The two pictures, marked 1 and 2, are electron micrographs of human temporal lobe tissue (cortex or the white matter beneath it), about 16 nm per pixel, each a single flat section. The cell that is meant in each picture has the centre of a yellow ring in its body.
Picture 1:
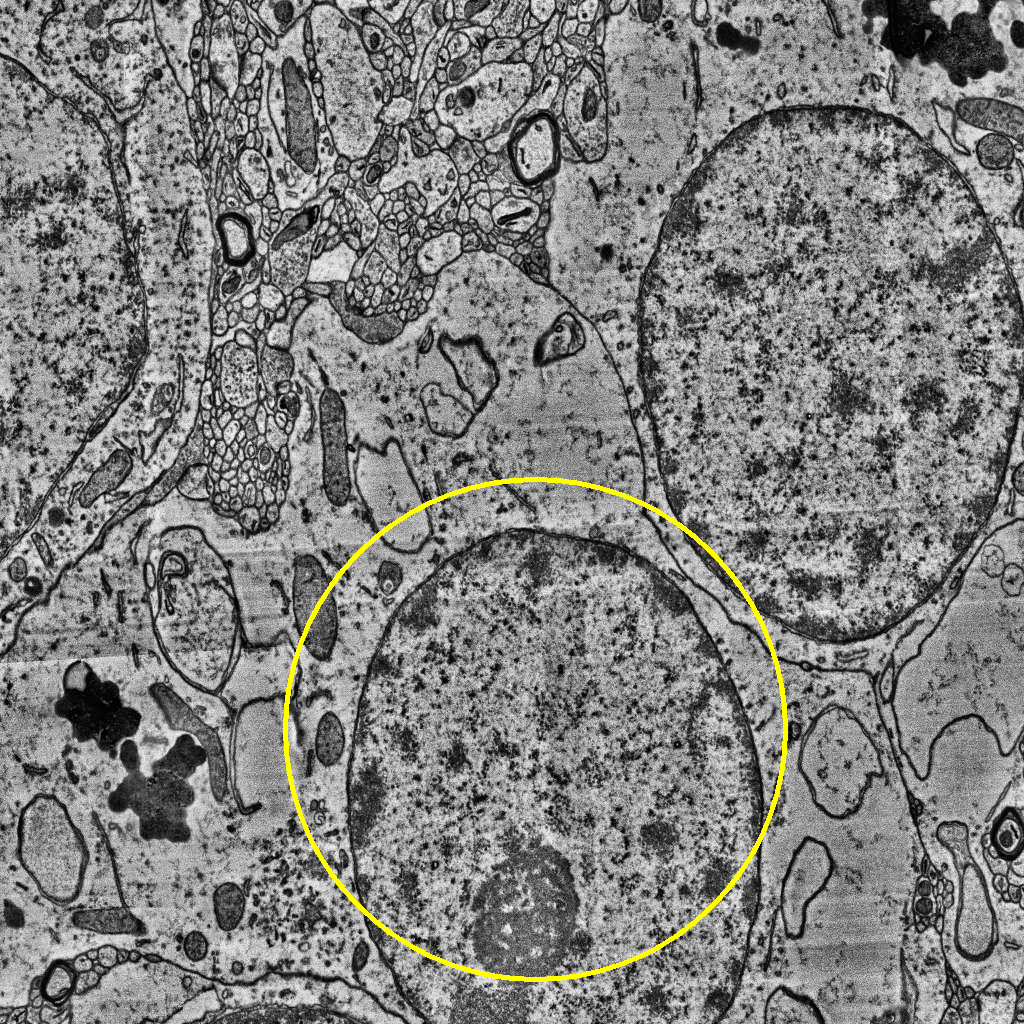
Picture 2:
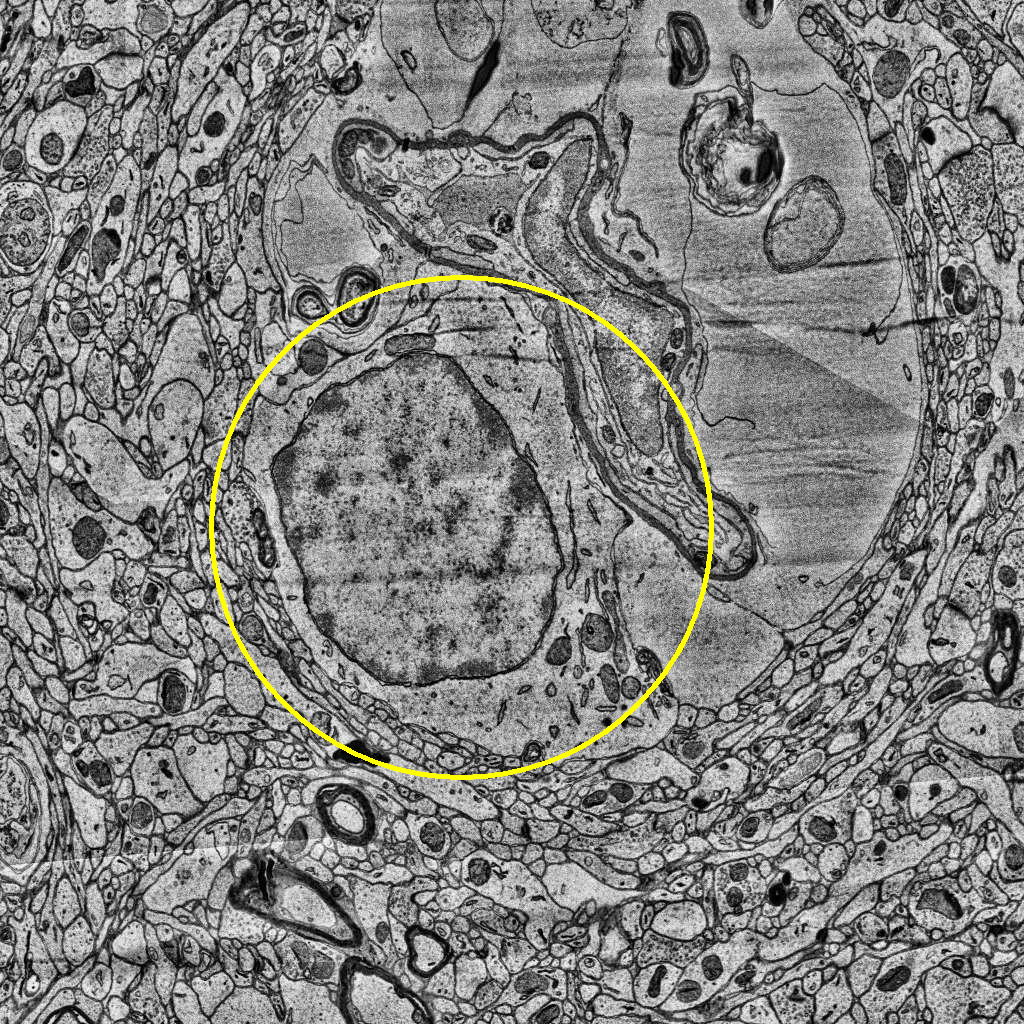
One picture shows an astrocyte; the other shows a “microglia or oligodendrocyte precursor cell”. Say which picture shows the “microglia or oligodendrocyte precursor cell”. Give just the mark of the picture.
2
